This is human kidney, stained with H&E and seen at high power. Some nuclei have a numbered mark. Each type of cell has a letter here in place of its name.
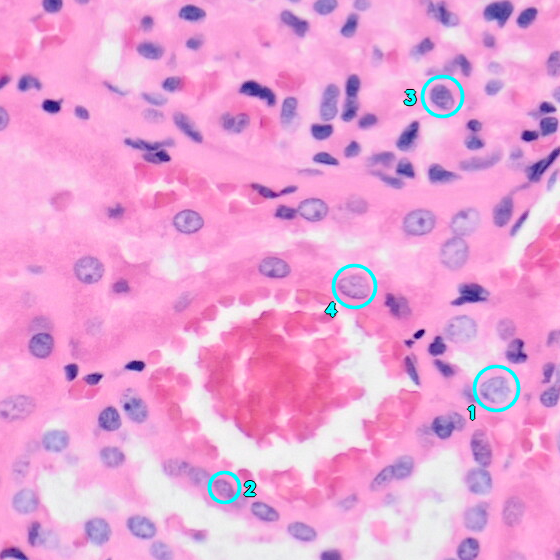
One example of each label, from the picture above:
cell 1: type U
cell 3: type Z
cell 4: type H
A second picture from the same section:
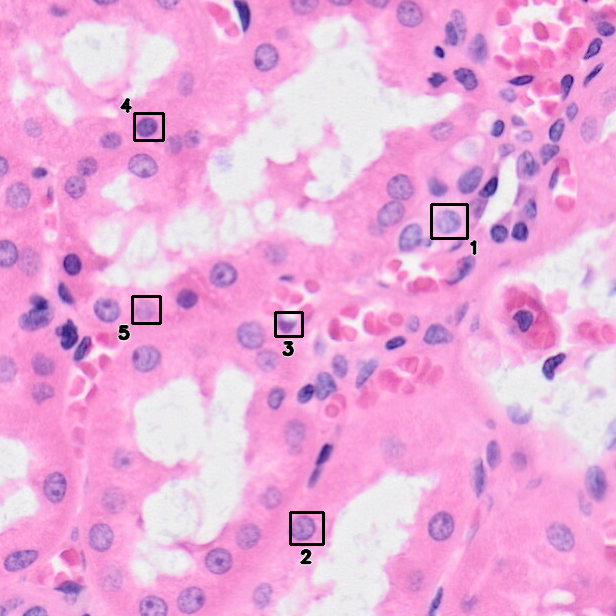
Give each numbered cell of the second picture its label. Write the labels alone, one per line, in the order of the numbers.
type U
type H
type Z
type H
type H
